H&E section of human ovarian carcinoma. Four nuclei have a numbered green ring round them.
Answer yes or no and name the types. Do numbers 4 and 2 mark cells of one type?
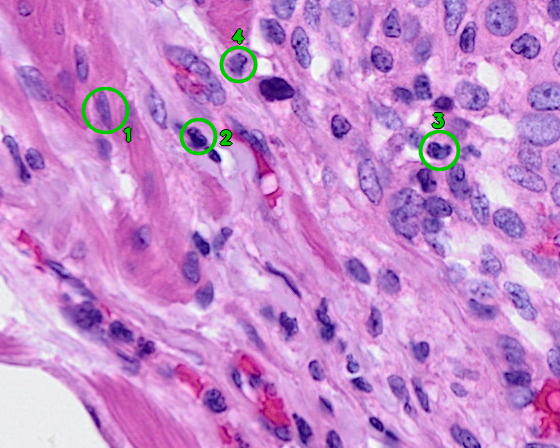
No, cell 4 is a macrophage or monocyte and cell 2 is a lymphocyte.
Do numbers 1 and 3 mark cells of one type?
No, cell 1 is a smooth muscle cell and cell 3 is a lymphocyte.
